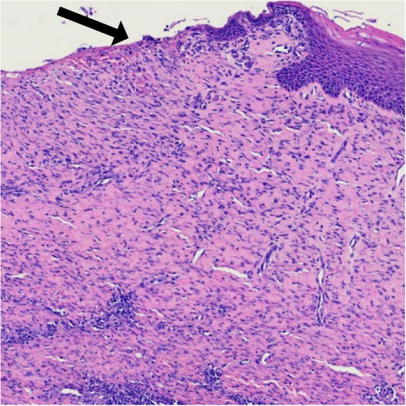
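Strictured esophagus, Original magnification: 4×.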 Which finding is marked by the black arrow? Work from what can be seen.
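At the arrow the surface lacks the thick purple stratified epithelium.
Conclusion: erosion of epithelium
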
